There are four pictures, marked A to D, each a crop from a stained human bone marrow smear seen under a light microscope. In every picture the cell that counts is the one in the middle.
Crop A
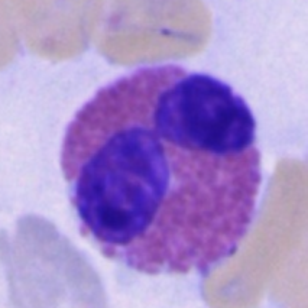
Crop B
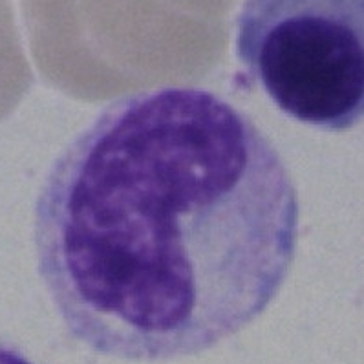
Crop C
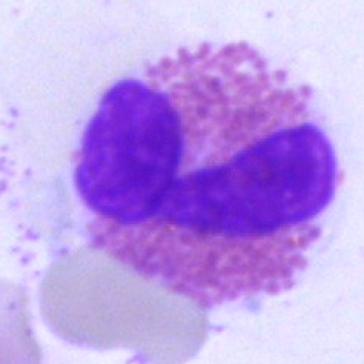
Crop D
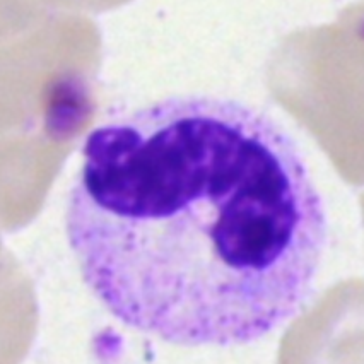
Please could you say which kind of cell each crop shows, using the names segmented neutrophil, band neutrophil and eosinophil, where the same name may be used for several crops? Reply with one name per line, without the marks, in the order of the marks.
eosinophil
band neutrophil
eosinophil
segmented neutrophil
